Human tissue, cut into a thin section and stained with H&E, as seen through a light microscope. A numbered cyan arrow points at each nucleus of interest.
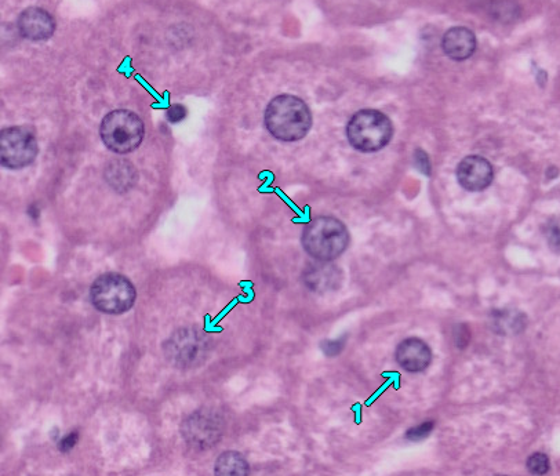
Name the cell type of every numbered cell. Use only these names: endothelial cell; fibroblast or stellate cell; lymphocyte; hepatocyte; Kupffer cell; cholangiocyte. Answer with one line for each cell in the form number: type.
1: hepatocyte
2: hepatocyte
3: hepatocyte
4: lymphocyte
